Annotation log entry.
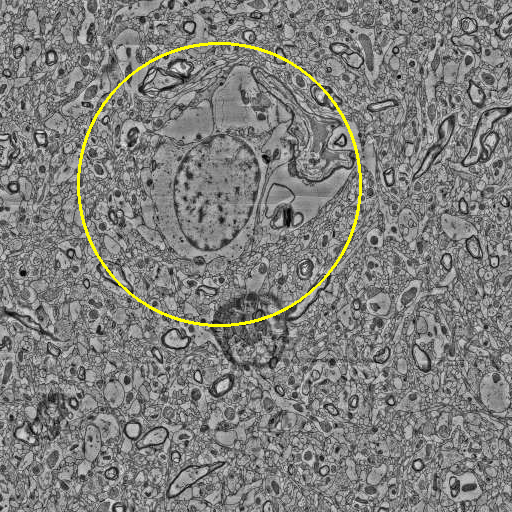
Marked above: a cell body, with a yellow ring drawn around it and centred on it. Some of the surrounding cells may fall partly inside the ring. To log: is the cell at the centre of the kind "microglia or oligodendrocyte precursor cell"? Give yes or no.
Yes, the cell at the centre is of that kind.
